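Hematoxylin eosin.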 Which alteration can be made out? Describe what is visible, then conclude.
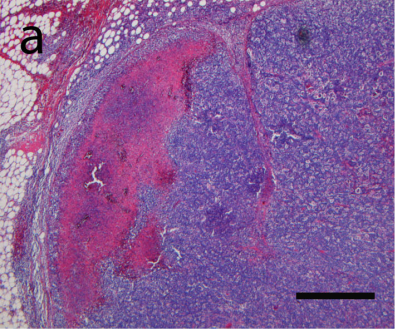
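No follicles or sinuses are discernible in the blue cellular area. The node is effaced by a diffuse sheet of cells. So: vanished lymph node structure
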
